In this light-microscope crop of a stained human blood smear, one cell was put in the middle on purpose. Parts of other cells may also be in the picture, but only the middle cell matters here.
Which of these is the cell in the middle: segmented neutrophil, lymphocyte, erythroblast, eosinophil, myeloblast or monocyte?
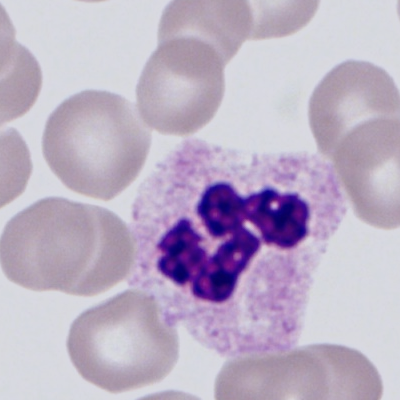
segmented neutrophil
